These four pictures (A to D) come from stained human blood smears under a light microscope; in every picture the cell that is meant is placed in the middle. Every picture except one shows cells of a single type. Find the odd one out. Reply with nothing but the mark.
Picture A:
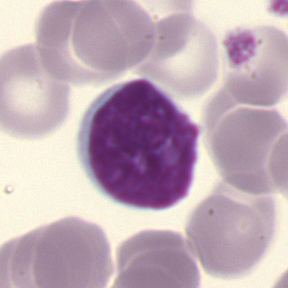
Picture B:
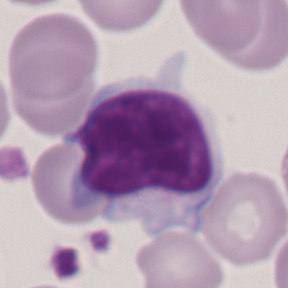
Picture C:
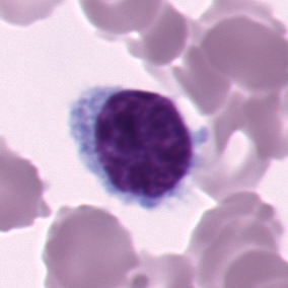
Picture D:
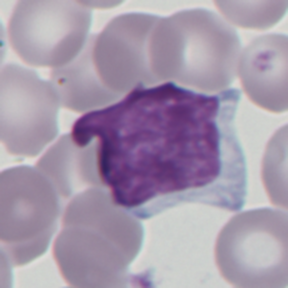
C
